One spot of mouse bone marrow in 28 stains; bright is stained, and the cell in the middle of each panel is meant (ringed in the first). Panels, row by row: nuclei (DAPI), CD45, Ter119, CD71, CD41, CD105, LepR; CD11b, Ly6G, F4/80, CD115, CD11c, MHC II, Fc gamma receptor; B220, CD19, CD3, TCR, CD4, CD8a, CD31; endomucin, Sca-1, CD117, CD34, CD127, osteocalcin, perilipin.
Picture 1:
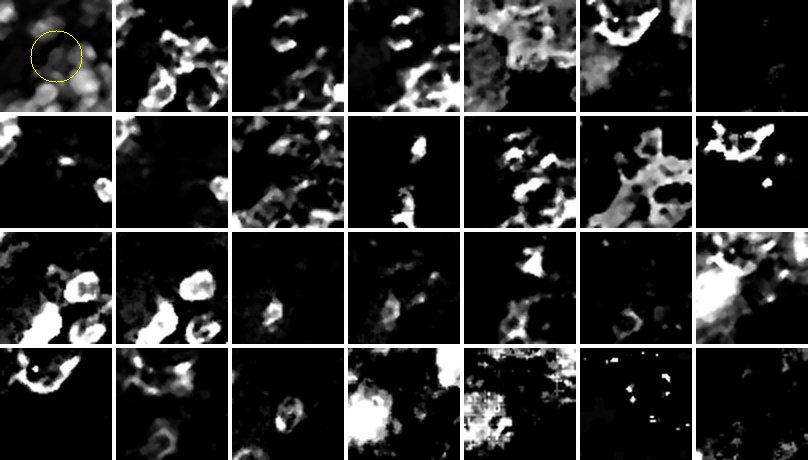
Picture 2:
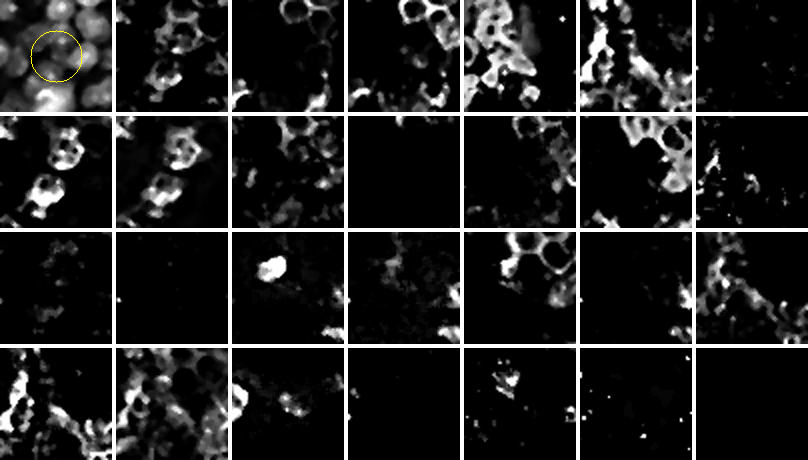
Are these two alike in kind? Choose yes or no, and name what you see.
Yes. Megakaryocyte progenitors.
